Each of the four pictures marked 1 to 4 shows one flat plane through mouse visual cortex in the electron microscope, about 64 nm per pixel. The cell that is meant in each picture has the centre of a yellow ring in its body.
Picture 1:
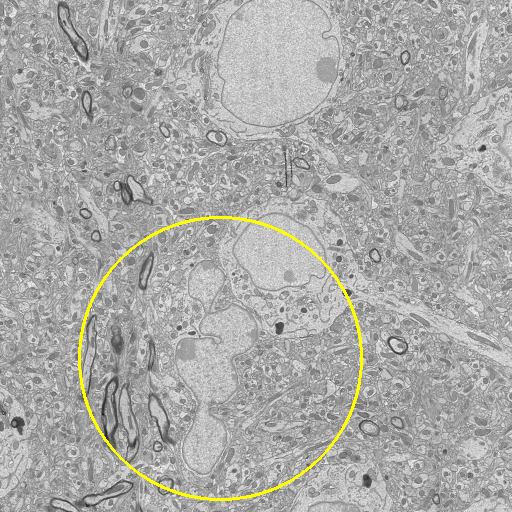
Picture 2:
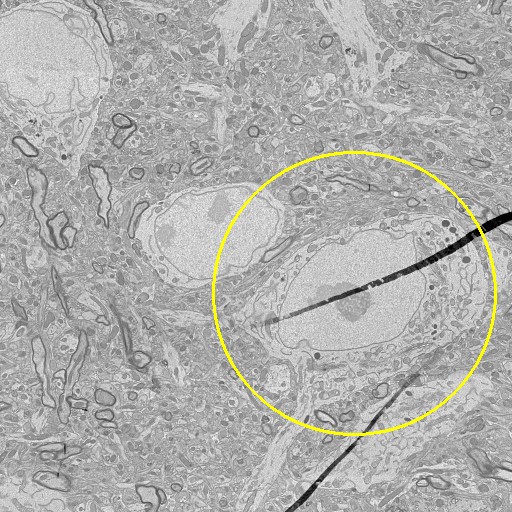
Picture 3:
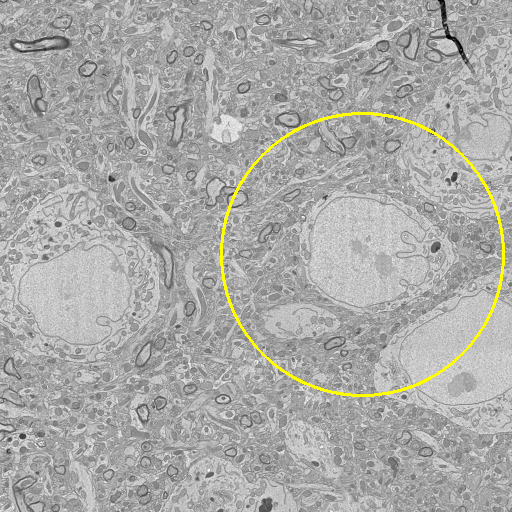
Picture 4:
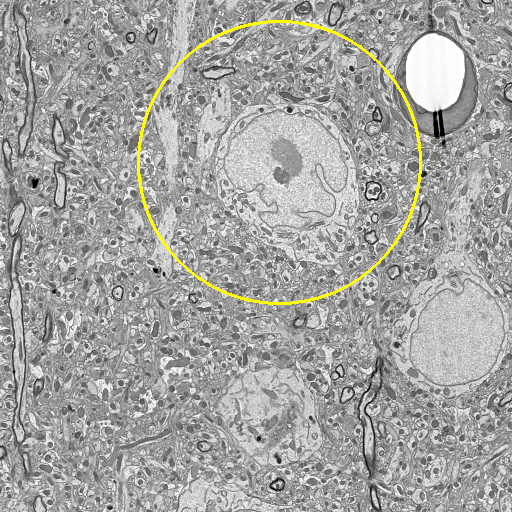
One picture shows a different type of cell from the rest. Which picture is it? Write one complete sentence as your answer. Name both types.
The different one is picture 1; it shows an oligodendrocyte precursor cell, whereas all the others show inhibitory neurons.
